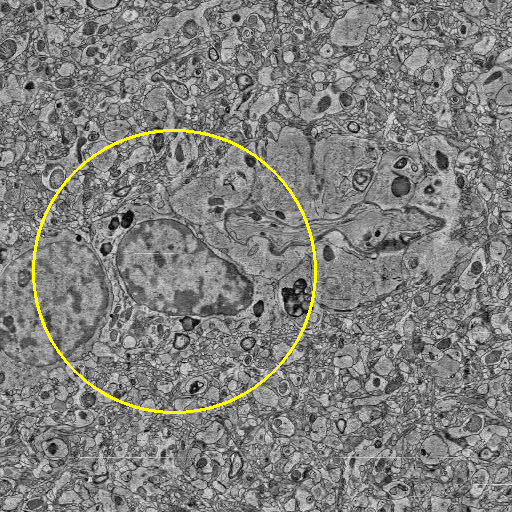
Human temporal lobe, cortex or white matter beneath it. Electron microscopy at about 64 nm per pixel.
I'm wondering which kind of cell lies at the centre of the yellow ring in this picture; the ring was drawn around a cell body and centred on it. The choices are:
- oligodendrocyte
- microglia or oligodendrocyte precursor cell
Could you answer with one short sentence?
At the centre of the ring lies a microglial cell or oligodendrocyte precursor cell.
